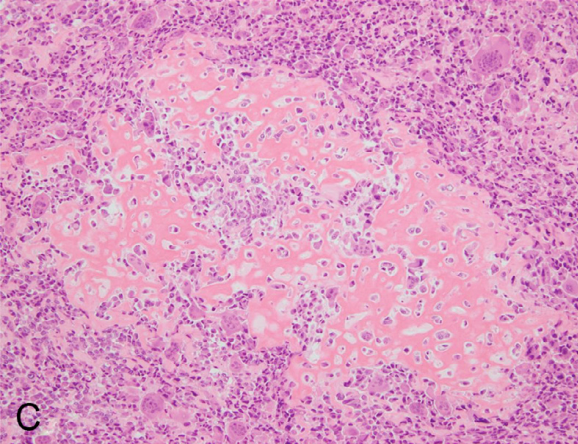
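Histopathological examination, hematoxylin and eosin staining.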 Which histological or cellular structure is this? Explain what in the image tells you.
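Lace-like osteoid. Small cells lie trapped within spaces of this pink matrix.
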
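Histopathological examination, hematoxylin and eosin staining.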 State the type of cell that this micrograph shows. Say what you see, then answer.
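Scattered large cells with abundant pink cytoplasm hold many nuclei each. These giant cells lie among smaller densely packed cells, e.g. at the upper right and lower edge. So: osteoclast-like multinucleated giant cells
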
